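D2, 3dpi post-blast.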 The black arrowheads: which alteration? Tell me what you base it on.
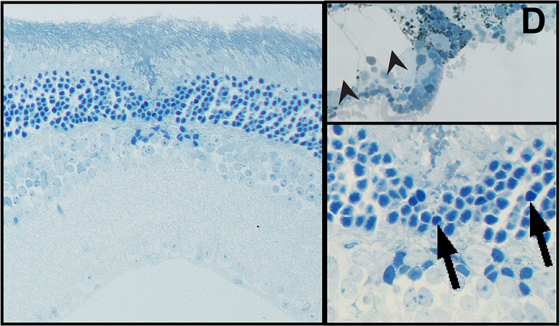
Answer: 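The epithelial layer is swollen with large pale, clear spaces. Dark pigment granules sit at the edge of the swollen layer.
Hence: vacuoles.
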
